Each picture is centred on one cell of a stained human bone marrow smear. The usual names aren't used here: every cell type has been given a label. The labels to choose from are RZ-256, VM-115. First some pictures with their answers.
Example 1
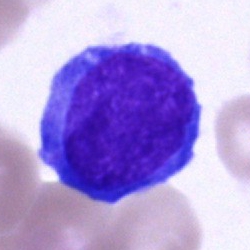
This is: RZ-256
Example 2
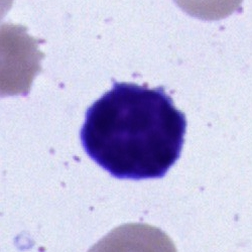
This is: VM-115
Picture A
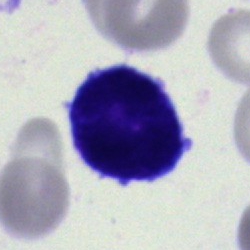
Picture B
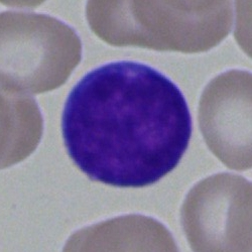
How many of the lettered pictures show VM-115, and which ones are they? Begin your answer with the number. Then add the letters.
0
